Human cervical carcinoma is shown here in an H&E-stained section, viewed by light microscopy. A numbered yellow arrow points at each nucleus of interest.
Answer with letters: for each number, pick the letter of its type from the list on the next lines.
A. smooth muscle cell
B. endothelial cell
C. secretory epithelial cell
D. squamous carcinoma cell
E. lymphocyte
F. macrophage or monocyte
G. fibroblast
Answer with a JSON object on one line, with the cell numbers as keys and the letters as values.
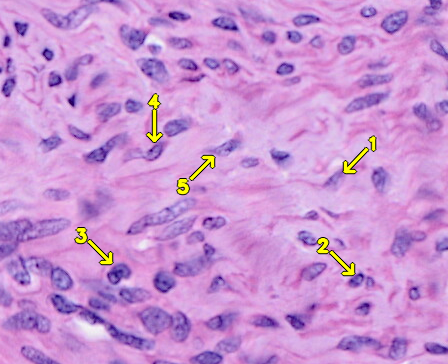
{"1": "A", "2": "A", "3": "E", "4": "A", "5": "G"}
